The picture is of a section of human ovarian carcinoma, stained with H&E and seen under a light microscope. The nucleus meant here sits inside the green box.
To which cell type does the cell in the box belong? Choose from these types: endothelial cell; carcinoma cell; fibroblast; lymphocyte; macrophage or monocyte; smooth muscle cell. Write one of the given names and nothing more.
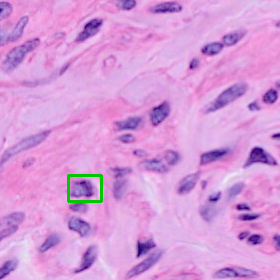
smooth muscle cell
